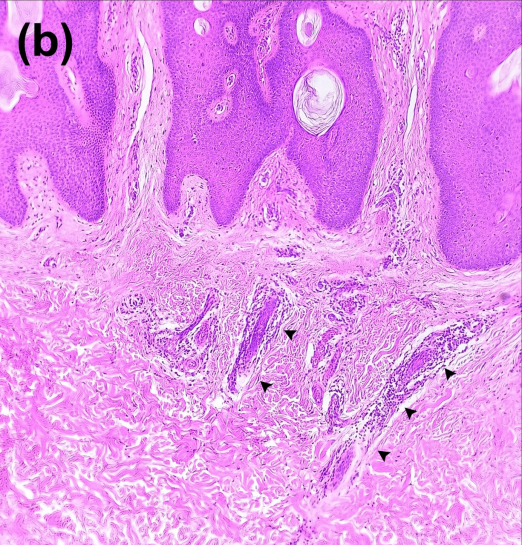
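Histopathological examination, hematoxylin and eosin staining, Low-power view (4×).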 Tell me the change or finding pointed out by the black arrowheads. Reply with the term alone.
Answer: perivascular lymphocytic infiltrate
